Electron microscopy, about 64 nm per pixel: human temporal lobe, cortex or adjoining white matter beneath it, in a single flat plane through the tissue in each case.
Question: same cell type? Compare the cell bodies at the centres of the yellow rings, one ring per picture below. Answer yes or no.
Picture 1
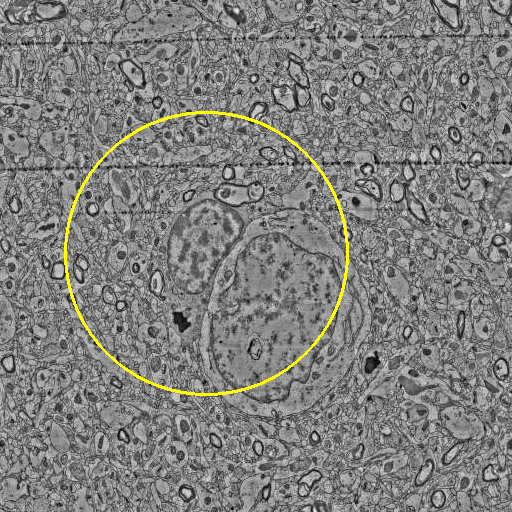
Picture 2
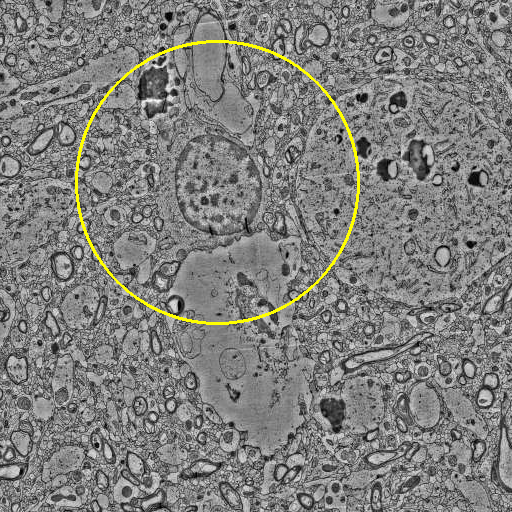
yes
